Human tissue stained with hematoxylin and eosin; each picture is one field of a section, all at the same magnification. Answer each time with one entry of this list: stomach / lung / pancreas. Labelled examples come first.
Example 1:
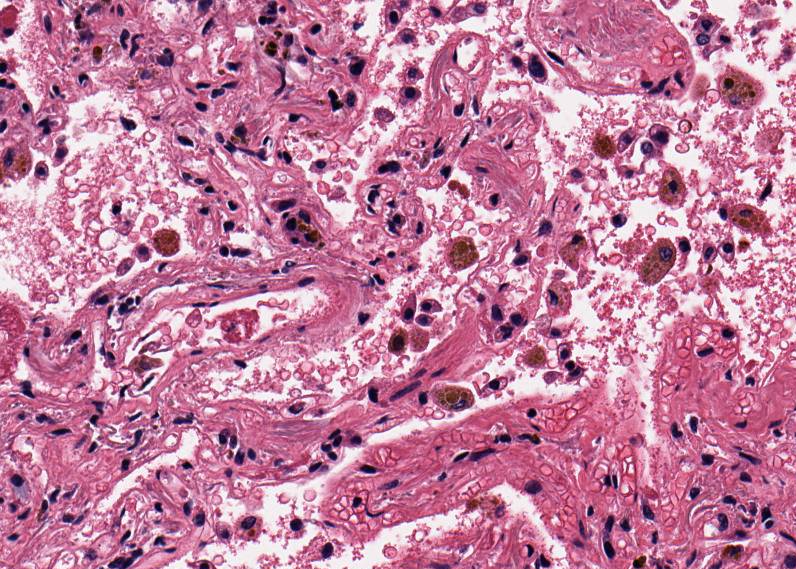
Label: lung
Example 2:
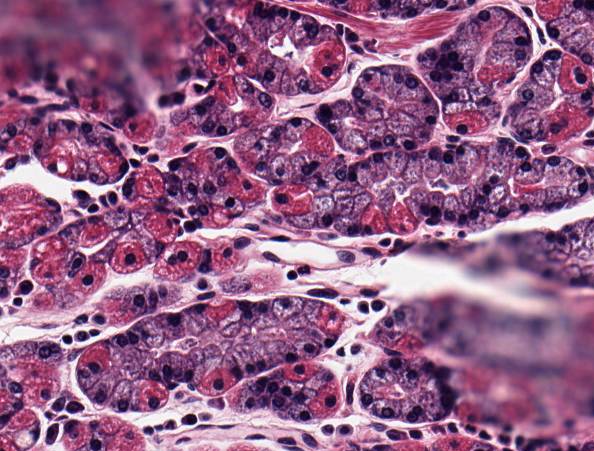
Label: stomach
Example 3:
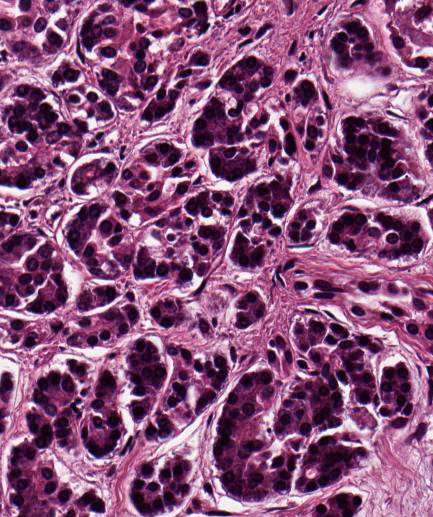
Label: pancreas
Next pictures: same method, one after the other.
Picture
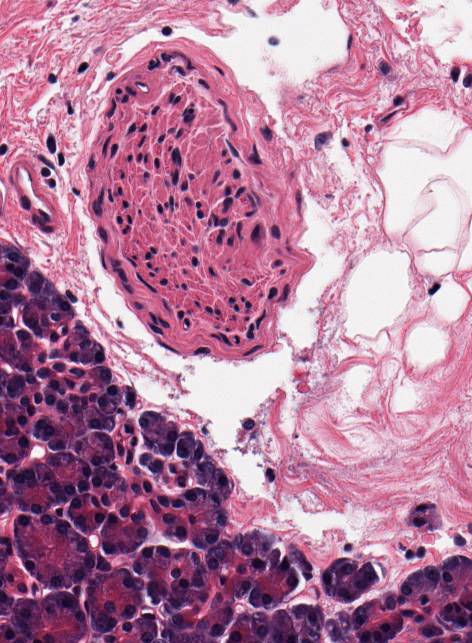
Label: pancreas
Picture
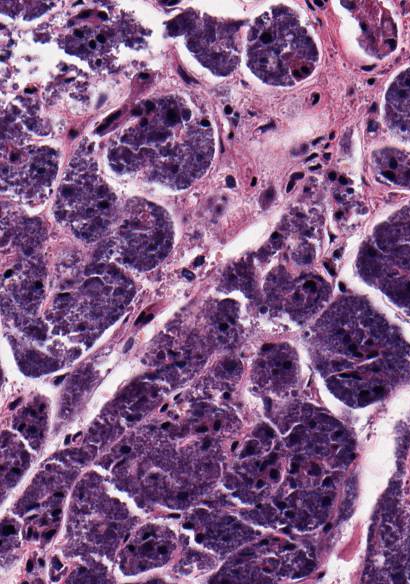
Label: pancreas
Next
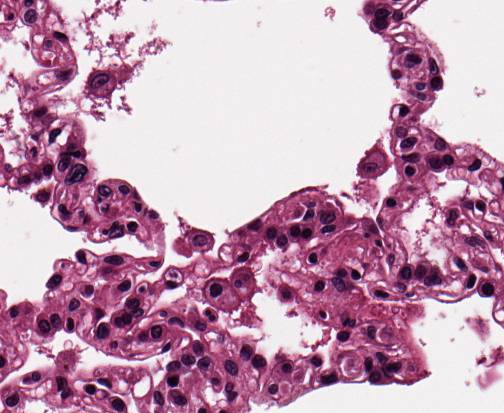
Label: lung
